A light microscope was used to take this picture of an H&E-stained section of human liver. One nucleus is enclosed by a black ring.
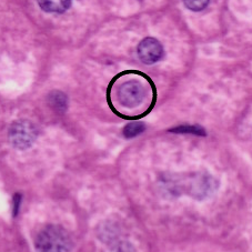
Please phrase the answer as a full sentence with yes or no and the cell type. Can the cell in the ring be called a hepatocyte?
Yes, the cell in the ring is a hepatocyte by cell type.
